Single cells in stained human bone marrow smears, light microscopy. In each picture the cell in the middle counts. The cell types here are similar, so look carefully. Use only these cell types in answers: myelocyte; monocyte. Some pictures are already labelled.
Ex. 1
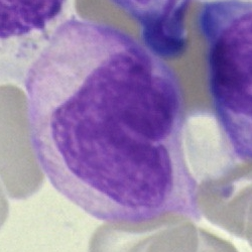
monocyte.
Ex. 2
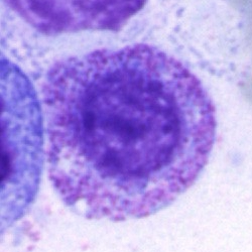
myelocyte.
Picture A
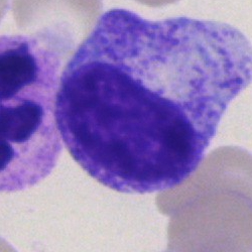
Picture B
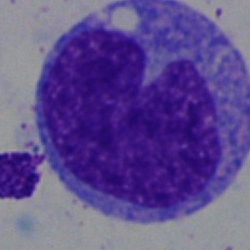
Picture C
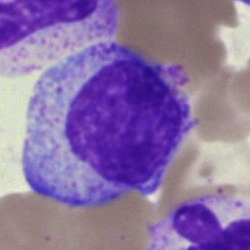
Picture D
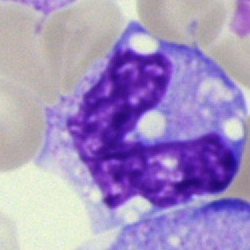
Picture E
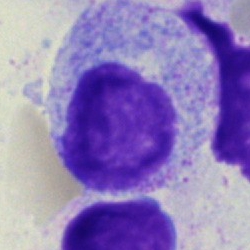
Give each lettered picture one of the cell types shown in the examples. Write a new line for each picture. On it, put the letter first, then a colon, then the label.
A: myelocyte.
B: monocyte.
C: myelocyte.
D: monocyte.
E: myelocyte.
